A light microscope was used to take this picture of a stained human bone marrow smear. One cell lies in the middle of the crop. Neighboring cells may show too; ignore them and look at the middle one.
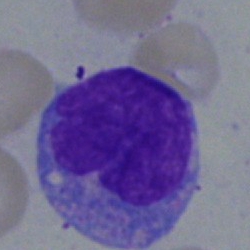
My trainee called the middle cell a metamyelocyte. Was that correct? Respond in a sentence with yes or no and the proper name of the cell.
No, the centred cell is a monocyte, and it is not a metamyelocyte.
